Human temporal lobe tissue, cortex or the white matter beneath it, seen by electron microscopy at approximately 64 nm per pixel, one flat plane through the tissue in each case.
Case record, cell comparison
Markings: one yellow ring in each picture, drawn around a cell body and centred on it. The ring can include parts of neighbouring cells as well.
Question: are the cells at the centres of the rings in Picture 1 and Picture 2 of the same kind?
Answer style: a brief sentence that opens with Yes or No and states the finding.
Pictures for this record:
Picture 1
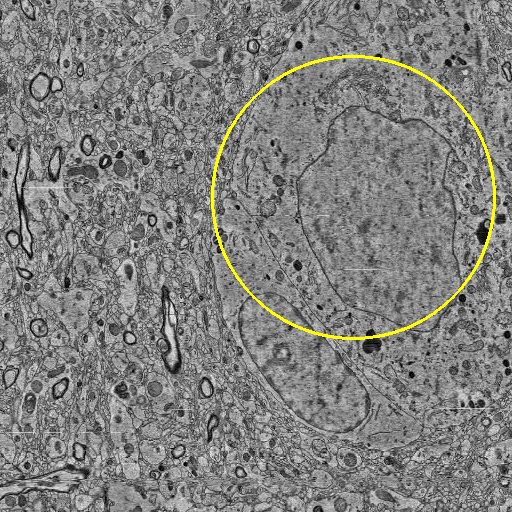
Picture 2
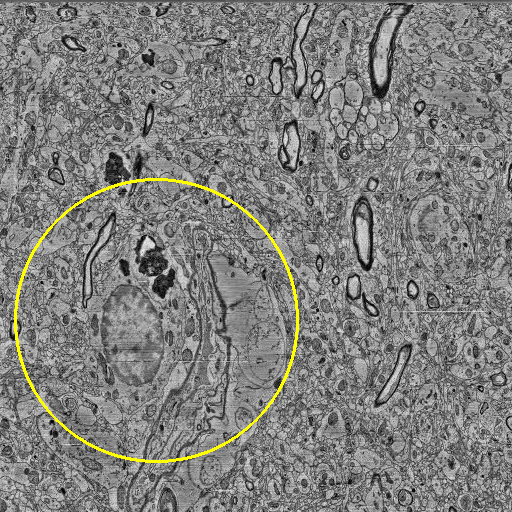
No, the cells in Picture 1 and Picture 2 are of two kinds.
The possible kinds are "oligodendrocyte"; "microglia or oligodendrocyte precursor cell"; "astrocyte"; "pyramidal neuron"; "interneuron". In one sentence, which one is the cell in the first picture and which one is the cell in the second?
The cell ringed in the second picture is an oligodendrocyte, whereas the one ringed in the first is a pyramidal neuron.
